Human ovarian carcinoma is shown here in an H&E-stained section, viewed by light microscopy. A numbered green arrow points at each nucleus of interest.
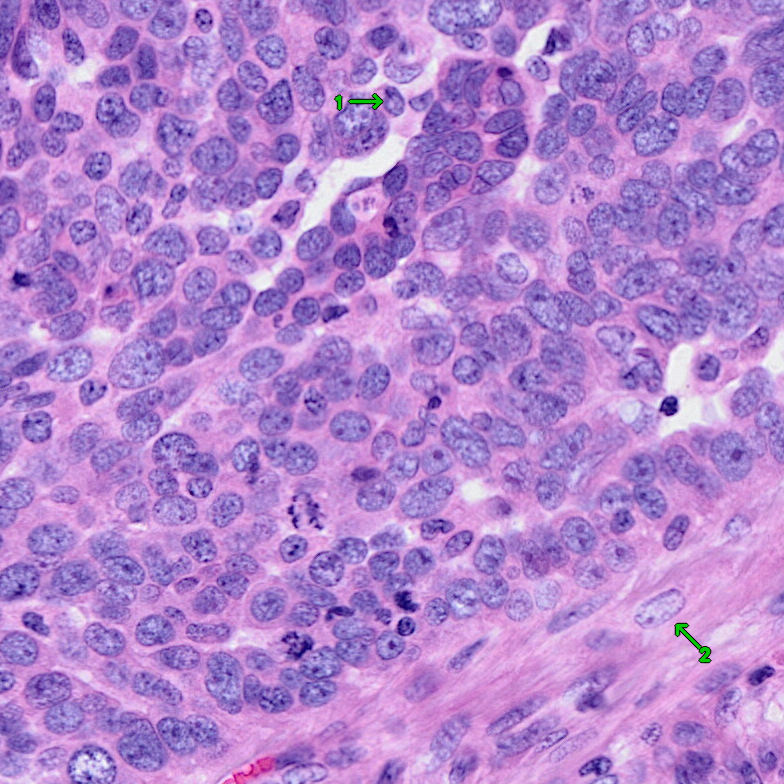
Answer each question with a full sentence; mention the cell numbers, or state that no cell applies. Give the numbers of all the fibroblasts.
Of the cells marked with numbers, cell 2 is the only one that is a fibroblast.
